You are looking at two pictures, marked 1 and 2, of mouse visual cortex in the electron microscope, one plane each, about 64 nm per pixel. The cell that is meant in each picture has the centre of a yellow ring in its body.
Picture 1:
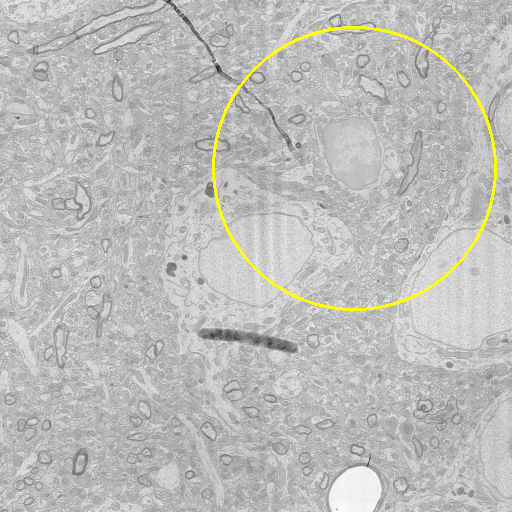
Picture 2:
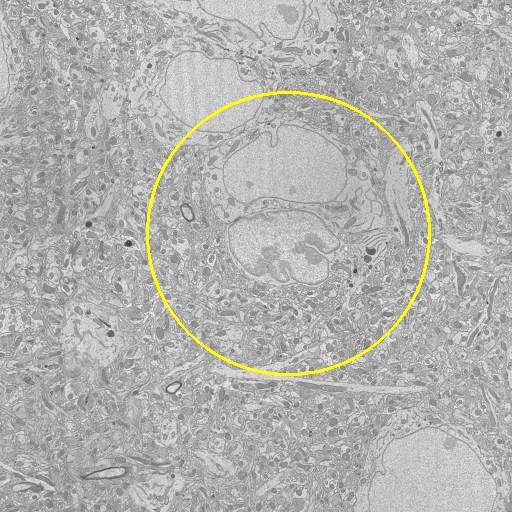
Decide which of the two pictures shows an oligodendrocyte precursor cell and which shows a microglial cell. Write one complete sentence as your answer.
It is picture 1 that shows a microglial cell, and picture 2 that shows an oligodendrocyte precursor cell.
